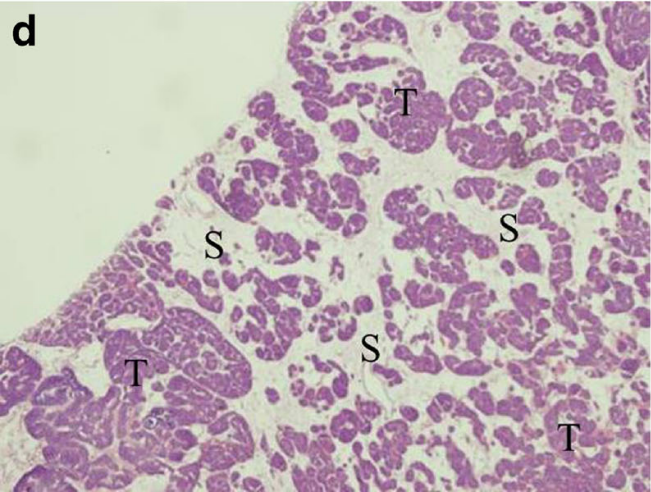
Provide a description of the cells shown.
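Some areas hold large, closely packed groups of cell nests. Elsewhere, small nests and cords lie scattered in broad zones of pale, loose stroma. The tumour edge runs along the upper left, beside a clear empty area.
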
